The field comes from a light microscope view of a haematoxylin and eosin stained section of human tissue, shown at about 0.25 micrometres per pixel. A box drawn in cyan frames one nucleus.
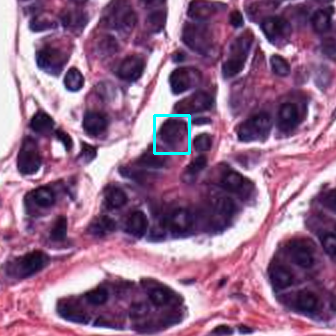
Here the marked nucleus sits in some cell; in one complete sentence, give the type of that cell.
The nucleus carrying the mark is the nucleus of a pancreatic acinar cell.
